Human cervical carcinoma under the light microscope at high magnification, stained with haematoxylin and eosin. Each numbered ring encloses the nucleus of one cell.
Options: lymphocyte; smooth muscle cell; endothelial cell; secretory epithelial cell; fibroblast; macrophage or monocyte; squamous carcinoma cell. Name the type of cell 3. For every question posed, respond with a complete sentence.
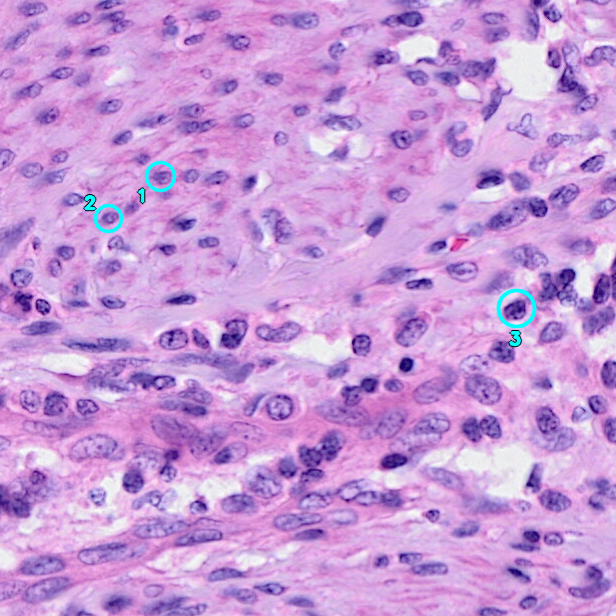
Numbered cell 3 is a lymphocyte in this tissue section.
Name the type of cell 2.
The marked nucleus 2 is that of a smooth muscle cell.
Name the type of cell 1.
The nucleus labelled 1 belongs to a smooth muscle cell.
